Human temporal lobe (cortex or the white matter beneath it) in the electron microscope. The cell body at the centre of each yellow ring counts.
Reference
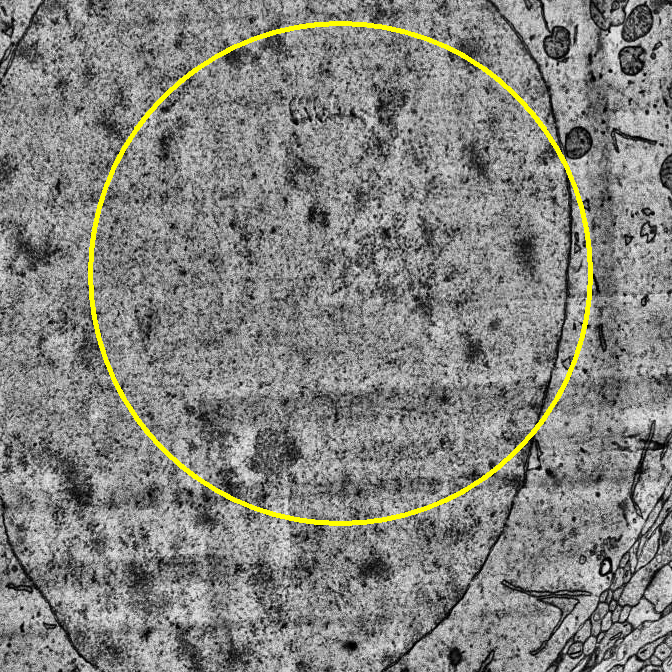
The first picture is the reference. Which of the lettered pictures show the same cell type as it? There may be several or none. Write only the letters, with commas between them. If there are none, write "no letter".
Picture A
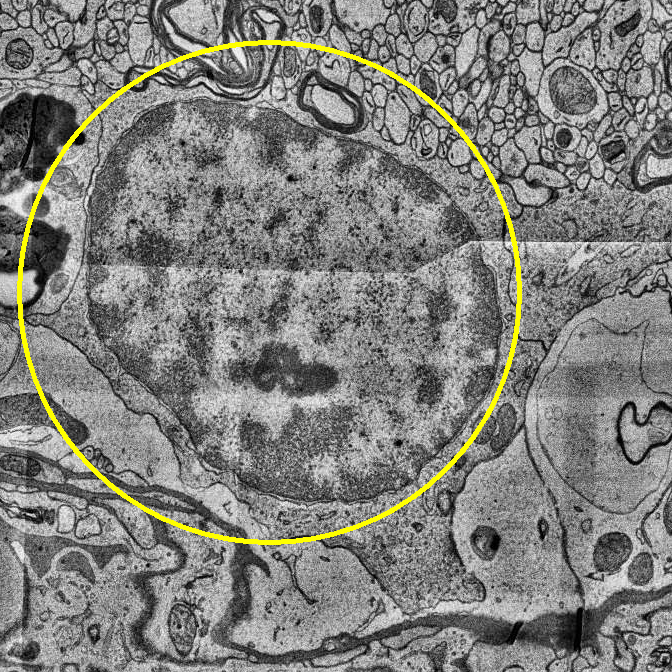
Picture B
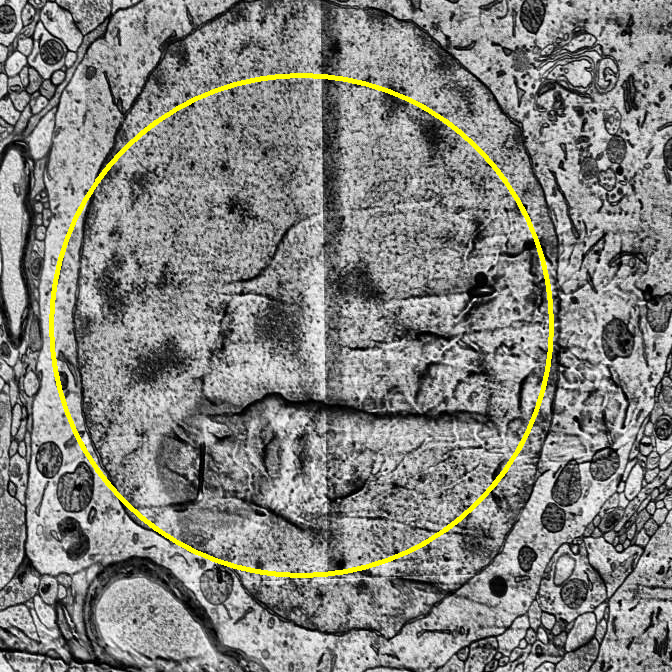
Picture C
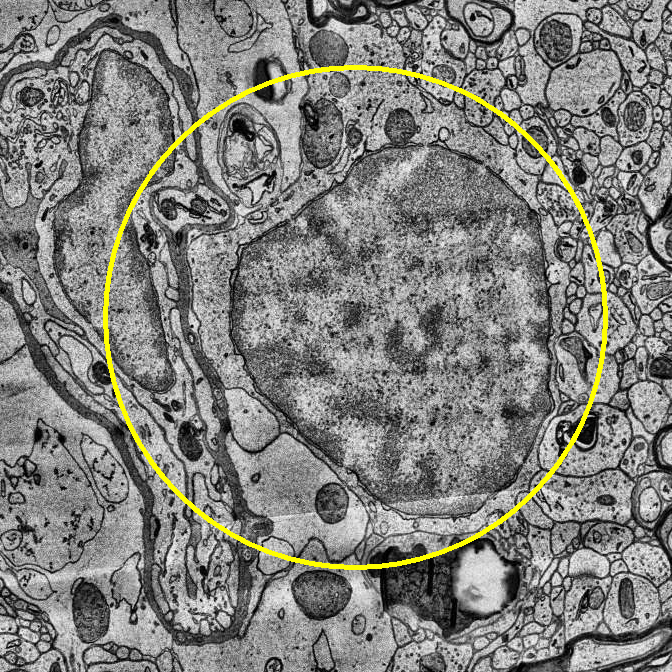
B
